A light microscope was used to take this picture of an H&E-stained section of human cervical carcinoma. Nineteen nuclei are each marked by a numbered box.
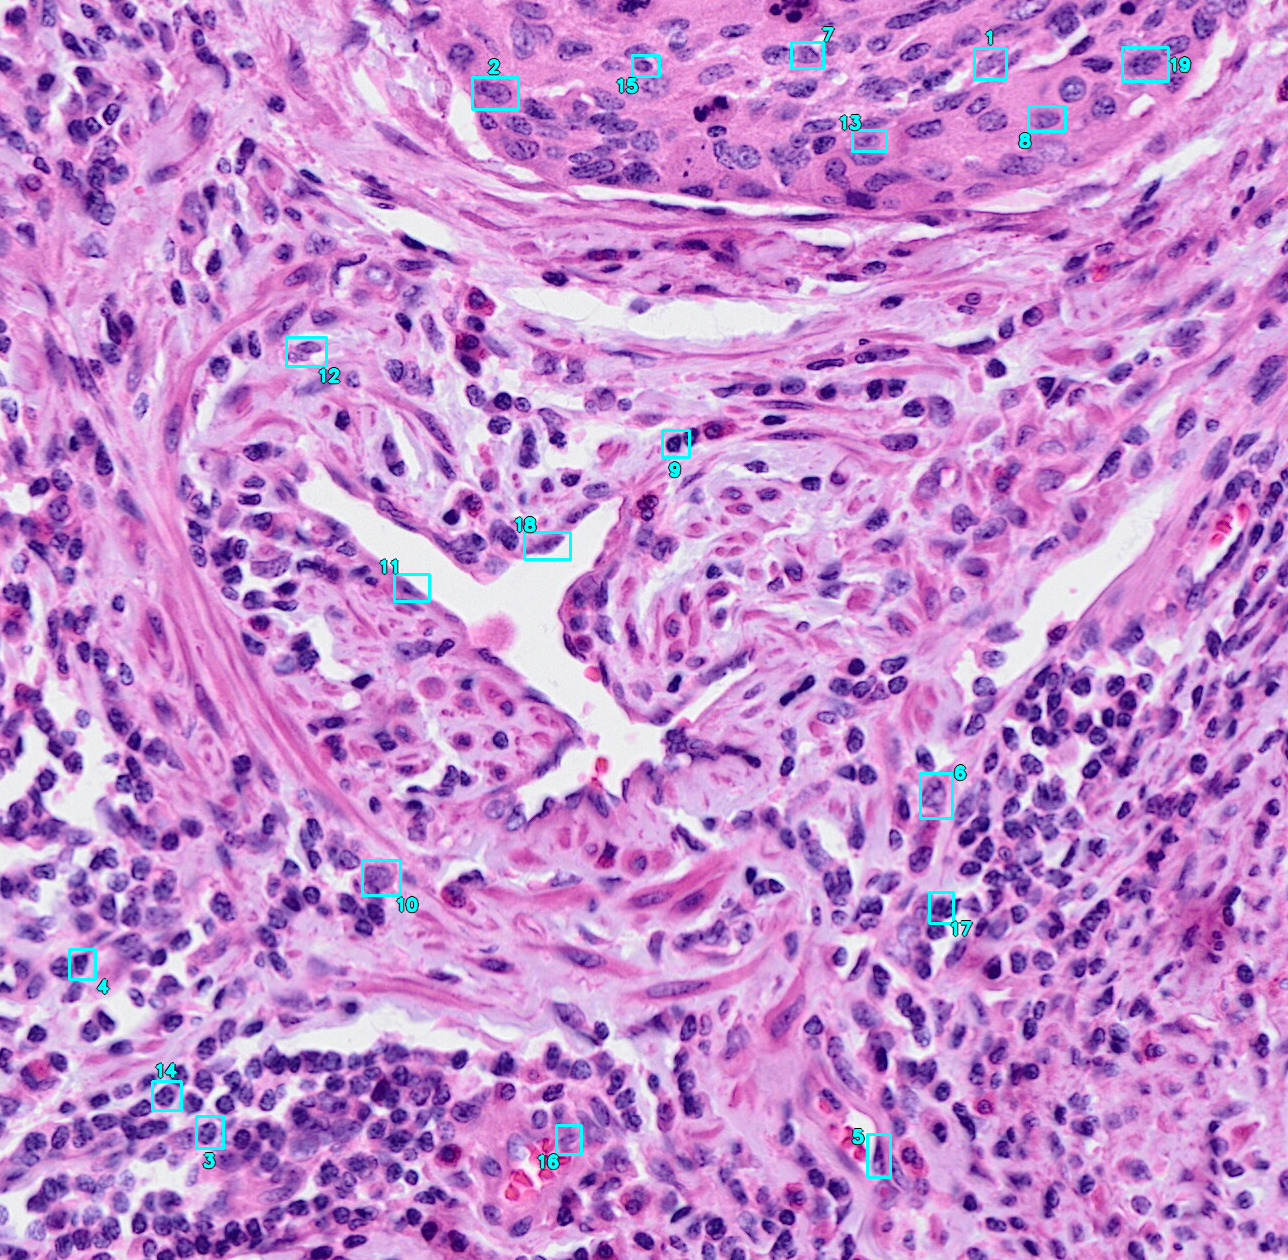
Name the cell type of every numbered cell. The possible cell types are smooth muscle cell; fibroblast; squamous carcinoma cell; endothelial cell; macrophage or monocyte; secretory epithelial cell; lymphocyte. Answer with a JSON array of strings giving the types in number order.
["squamous carcinoma cell", "squamous carcinoma cell", "lymphocyte", "lymphocyte", "endothelial cell", "macrophage or monocyte", "squamous carcinoma cell", "squamous carcinoma cell", "lymphocyte", "macrophage or monocyte", "endothelial cell", "macrophage or monocyte", "squamous carcinoma cell", "lymphocyte", "squamous carcinoma cell", "endothelial cell", "lymphocyte", "endothelial cell", "squamous carcinoma cell"]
